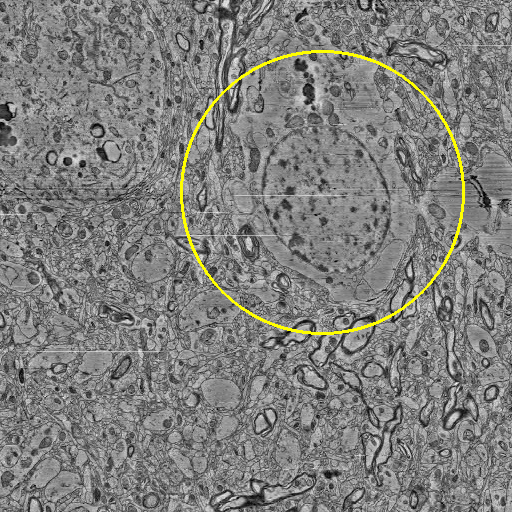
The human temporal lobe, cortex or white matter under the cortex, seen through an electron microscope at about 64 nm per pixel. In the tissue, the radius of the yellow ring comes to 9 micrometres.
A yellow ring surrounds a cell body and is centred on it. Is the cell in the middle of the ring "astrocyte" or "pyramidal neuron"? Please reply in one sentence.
The ring is centred on an astrocyte.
